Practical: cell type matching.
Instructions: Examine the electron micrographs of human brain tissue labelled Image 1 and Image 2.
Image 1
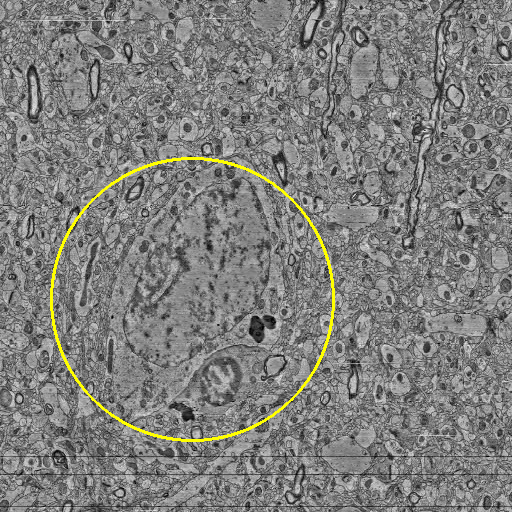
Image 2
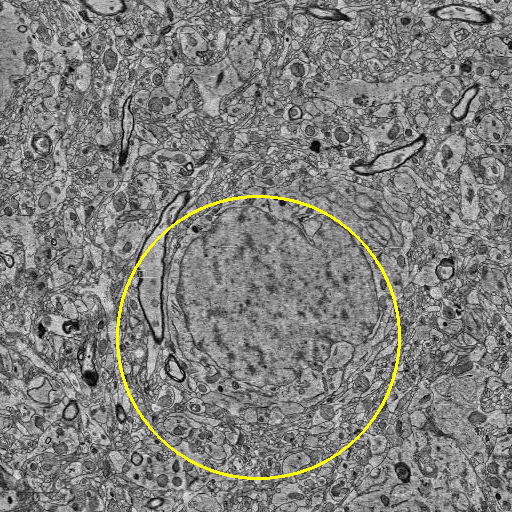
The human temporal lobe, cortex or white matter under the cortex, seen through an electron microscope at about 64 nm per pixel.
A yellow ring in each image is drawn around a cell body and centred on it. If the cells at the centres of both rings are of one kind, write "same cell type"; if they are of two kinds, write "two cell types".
same cell type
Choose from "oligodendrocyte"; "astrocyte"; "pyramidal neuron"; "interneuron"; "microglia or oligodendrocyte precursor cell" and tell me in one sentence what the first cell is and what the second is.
The second cell is an interneuron, just as the first is.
